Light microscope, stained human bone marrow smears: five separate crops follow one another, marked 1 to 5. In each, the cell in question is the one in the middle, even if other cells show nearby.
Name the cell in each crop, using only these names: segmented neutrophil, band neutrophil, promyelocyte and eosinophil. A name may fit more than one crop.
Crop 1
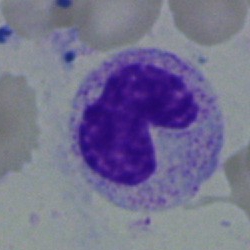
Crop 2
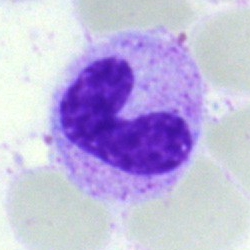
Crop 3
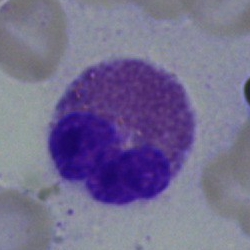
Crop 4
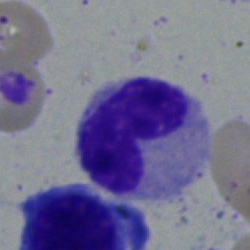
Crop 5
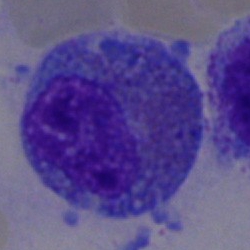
1: band neutrophil
2: band neutrophil
3: eosinophil
4: band neutrophil
5: eosinophil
